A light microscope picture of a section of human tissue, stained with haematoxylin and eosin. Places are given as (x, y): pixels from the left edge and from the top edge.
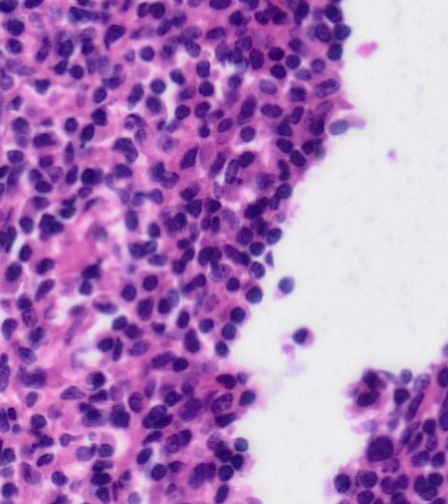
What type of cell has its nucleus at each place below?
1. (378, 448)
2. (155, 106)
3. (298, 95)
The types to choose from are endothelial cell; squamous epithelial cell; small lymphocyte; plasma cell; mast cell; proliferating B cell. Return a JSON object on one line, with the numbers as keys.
{"1": "proliferating B cell", "2": "plasma cell", "3": "plasma cell"}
